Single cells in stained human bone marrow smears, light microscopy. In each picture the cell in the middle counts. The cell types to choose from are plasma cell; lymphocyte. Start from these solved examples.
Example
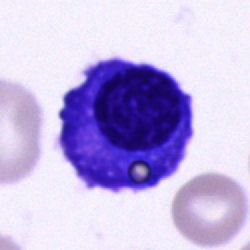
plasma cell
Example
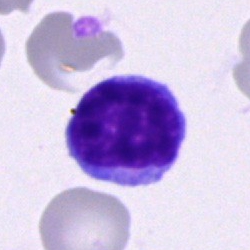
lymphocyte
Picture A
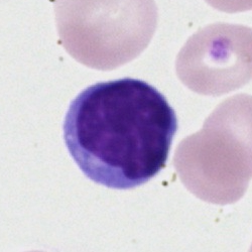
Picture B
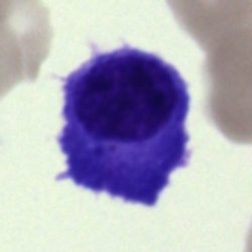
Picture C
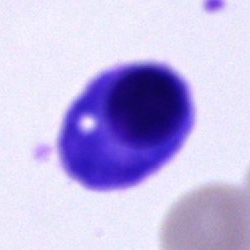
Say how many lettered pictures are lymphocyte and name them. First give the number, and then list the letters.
Count: 1 (A)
